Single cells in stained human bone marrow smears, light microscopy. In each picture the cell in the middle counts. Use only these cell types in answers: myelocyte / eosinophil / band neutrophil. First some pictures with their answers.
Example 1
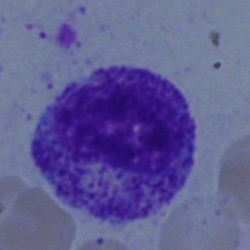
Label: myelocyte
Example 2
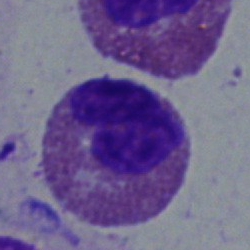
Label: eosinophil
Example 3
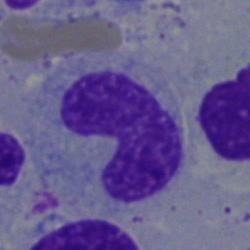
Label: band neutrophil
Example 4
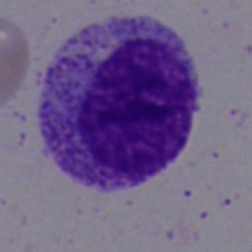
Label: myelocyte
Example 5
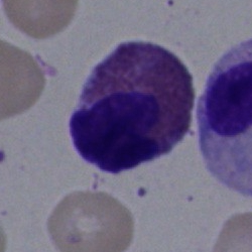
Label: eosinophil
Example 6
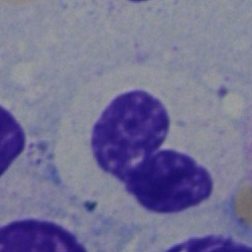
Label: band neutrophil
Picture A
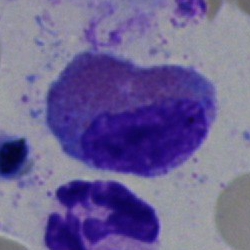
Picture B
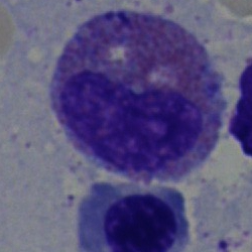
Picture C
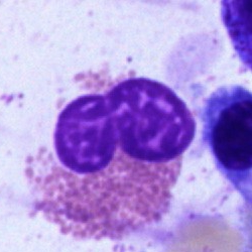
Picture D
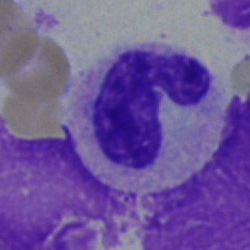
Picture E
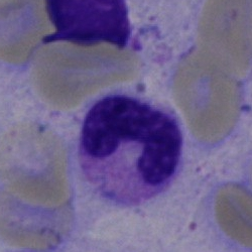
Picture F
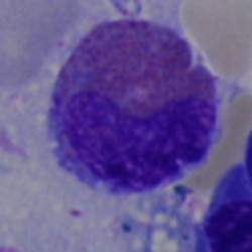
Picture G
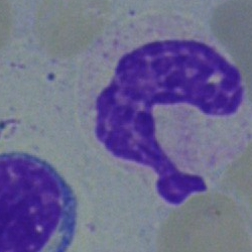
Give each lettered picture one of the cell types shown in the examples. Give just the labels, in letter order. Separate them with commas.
eosinophil, eosinophil, eosinophil, band neutrophil, band neutrophil, eosinophil, band neutrophil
